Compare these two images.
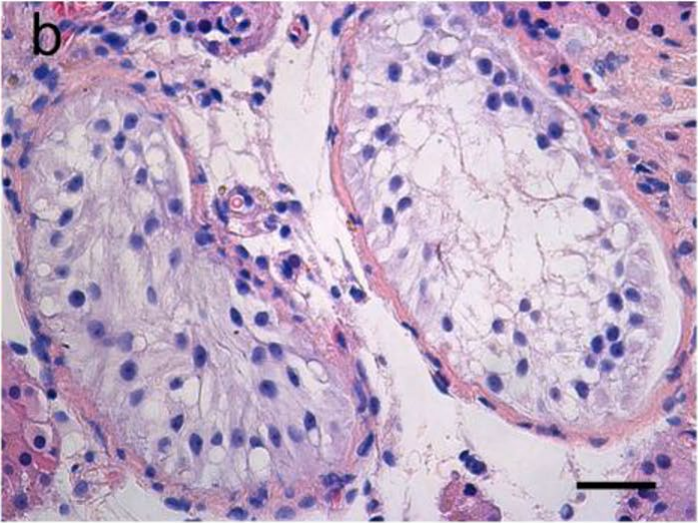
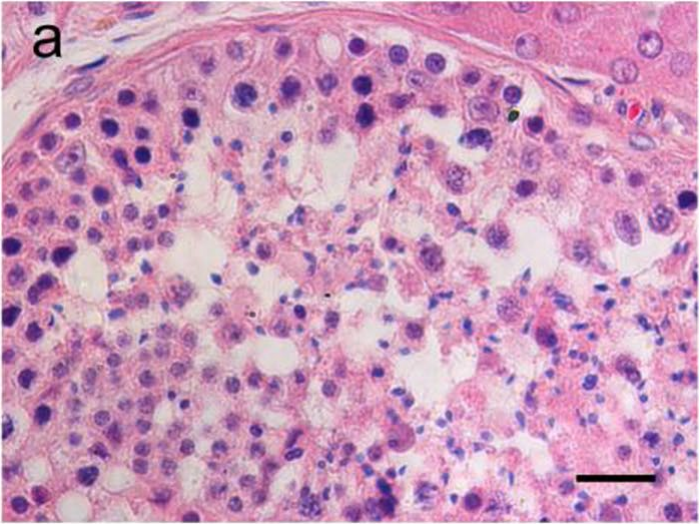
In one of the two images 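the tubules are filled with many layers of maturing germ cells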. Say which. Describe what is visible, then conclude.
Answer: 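The second image. First image: the tubules hold only one kind of cell with pale, fibrillar cytoplasm and scattered oval nuclei. Second image: the tubule is crowded with stacked layers of round and elongated cells from wall to lumen.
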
